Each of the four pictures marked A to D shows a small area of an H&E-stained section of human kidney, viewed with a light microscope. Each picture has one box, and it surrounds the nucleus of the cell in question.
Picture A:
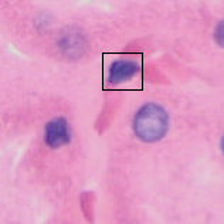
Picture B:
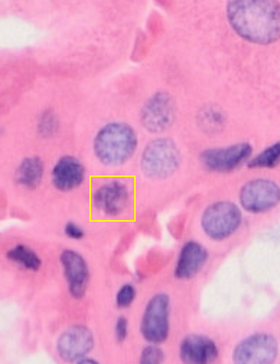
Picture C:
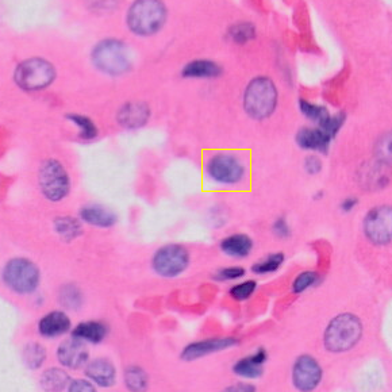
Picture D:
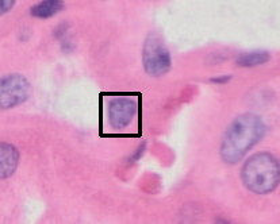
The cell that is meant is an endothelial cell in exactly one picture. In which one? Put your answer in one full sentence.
The endothelial cell is the one in picture A.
